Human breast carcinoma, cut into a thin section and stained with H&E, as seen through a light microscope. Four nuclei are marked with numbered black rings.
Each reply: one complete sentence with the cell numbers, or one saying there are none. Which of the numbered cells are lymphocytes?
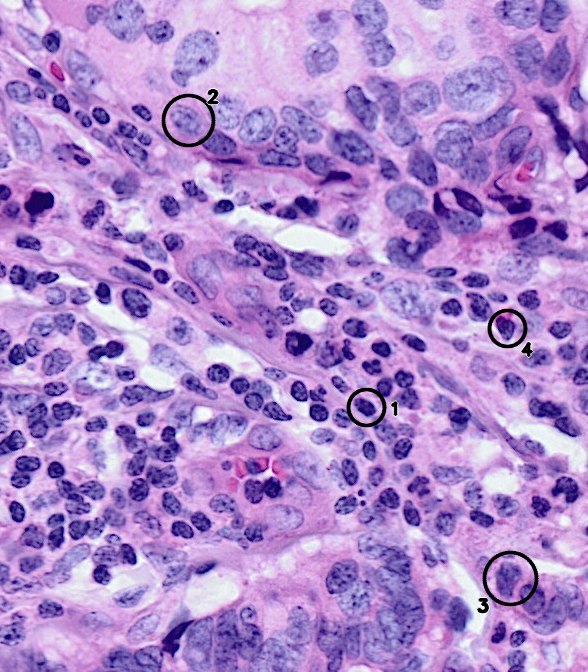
Regarding the numbered cells 1 and 4, these are lymphocytes.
